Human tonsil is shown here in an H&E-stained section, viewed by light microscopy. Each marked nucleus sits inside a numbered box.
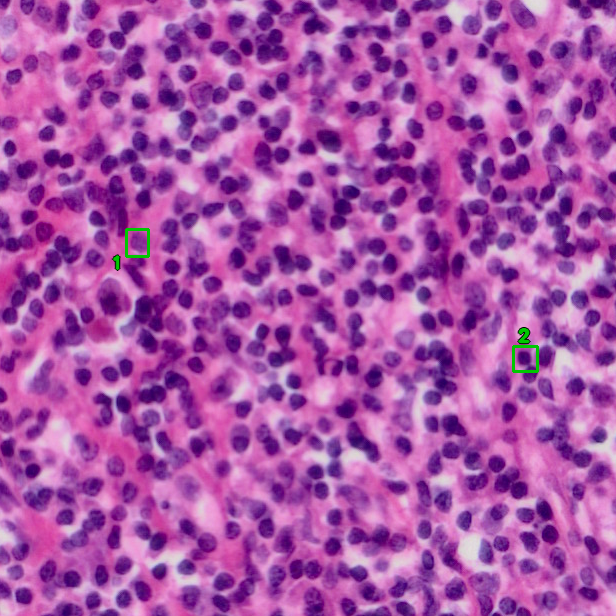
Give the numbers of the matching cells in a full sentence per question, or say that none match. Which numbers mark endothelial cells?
Only the cell numbered 1 qualifies as an endothelial cell among the marked cells.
